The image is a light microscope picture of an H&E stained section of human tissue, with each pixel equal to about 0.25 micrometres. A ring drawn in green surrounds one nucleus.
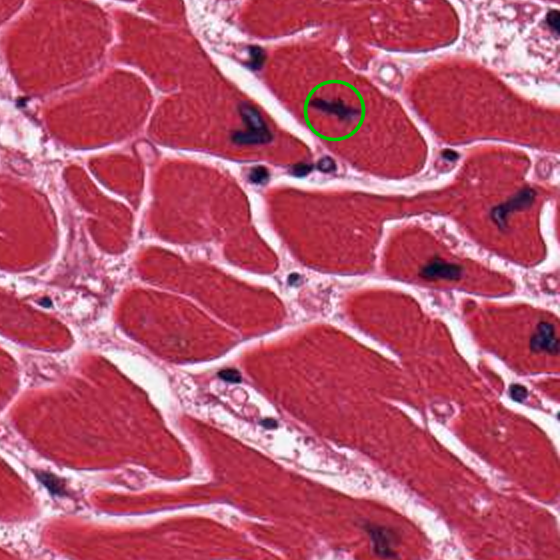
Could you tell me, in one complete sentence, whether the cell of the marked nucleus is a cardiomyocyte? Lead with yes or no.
Yes, the marked nucleus forms part of a cardiomyocyte.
